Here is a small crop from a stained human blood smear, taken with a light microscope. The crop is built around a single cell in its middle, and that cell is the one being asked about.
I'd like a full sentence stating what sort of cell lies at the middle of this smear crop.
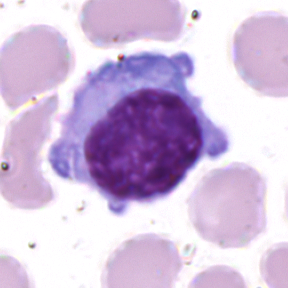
The cell featured at the centre of this crop is a plasma cell.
